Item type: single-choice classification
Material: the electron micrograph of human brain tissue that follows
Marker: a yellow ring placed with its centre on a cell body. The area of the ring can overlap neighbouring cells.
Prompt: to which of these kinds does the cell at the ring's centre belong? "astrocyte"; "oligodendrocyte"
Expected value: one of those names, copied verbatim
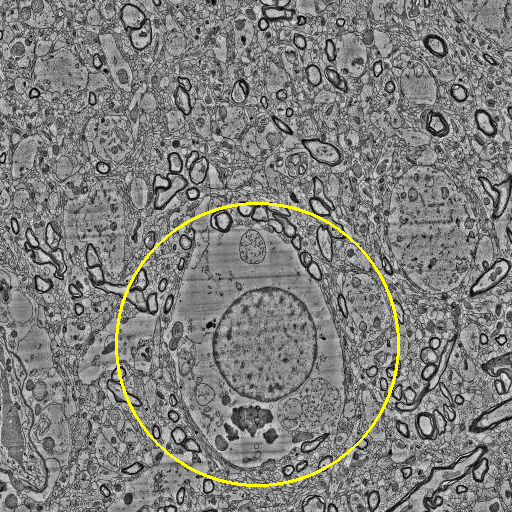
astrocyte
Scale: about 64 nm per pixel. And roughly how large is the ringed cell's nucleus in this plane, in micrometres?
The nucleus appears about 7 micrometres across in this plane.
